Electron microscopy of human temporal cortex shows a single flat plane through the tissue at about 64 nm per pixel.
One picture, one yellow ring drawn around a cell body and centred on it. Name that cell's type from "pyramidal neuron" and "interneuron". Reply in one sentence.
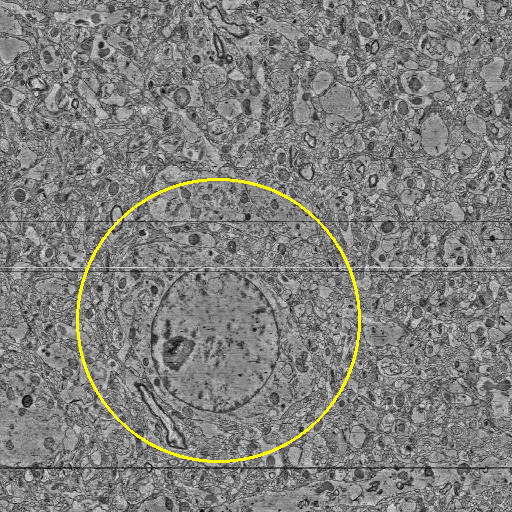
Centred in the ring is a pyramidal neuron.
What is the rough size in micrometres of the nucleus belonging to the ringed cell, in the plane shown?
In this plane, the nucleus measures approximately 9 micrometres across.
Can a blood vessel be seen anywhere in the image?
No, no vessel shows anywhere in the image.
